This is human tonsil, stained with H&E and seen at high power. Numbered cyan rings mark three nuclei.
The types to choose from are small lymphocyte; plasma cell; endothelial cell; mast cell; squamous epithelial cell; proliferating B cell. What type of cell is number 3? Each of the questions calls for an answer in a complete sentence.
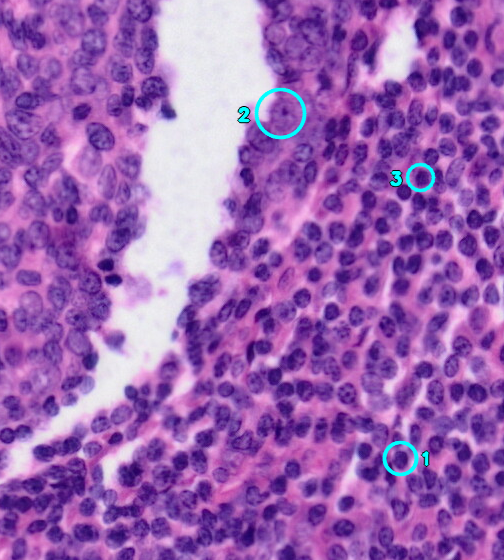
That cell with number 3 is a small lymphocyte.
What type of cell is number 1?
The cell that bears the number 1 is a small lymphocyte.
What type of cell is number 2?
Cell 2 is classified as a proliferating B cell.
